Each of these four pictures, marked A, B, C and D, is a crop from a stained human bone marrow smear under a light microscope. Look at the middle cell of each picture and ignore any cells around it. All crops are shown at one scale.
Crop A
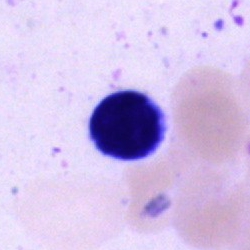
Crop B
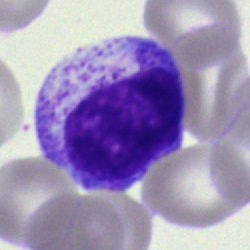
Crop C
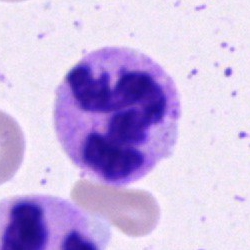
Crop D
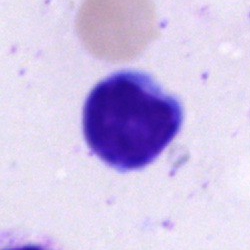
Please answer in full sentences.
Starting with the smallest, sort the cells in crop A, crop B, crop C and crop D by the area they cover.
Going up, they run A, D, C, B.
